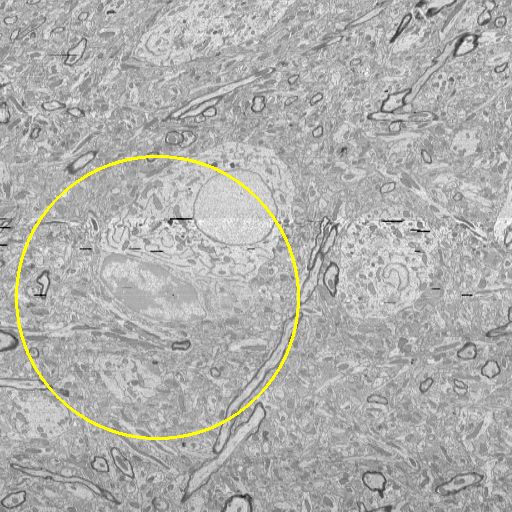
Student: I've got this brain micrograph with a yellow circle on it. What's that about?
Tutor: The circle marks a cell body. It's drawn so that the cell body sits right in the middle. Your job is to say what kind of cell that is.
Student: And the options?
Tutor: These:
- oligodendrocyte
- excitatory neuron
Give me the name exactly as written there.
oligodendrocyte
